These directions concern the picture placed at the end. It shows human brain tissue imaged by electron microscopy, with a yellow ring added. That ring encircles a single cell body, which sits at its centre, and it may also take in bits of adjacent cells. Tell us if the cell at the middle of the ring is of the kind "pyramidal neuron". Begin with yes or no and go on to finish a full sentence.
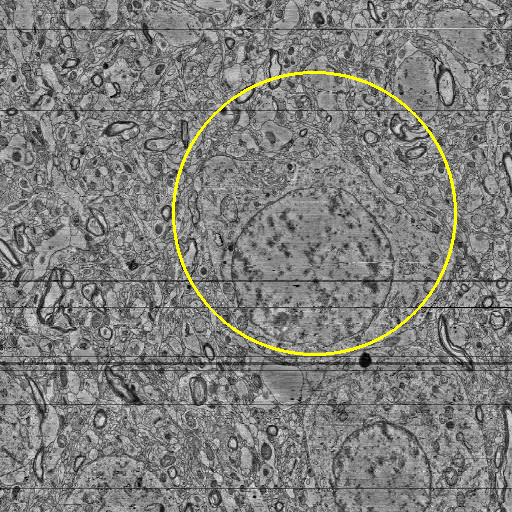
Yes, the cell sitting at the centre of the yellow ring in the picture is of that kind.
